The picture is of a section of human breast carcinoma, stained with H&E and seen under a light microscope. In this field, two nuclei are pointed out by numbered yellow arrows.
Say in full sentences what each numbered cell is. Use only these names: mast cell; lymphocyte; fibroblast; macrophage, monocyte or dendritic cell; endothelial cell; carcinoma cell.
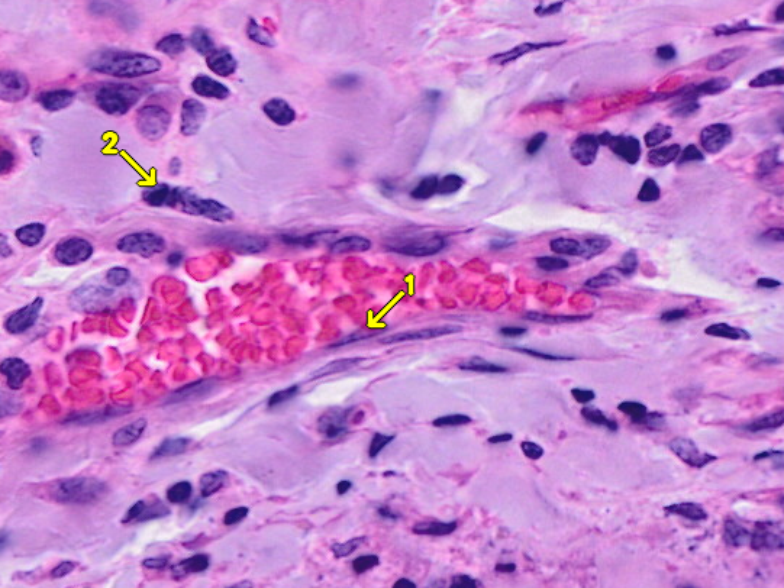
Cell 1 is an endothelial cell and cell 2 is a lymphocyte.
